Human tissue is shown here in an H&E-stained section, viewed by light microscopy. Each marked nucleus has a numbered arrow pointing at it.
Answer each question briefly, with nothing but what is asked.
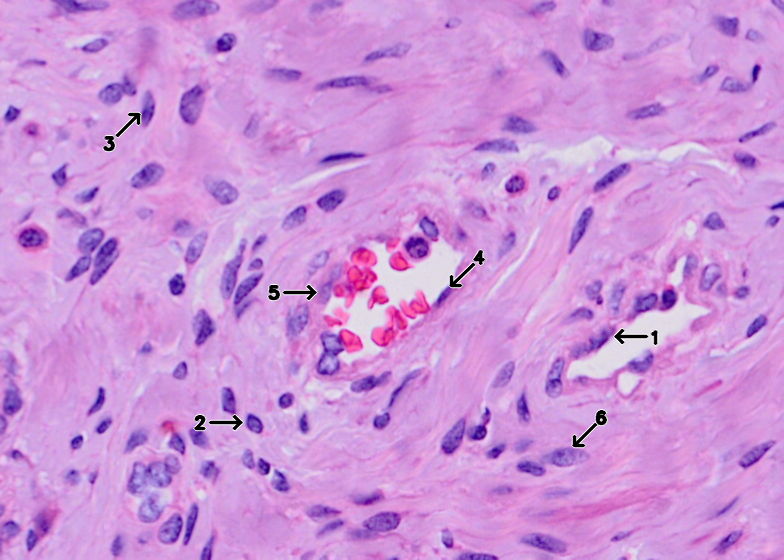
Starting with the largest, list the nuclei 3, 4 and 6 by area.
6, 3, 4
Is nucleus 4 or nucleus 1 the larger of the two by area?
1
